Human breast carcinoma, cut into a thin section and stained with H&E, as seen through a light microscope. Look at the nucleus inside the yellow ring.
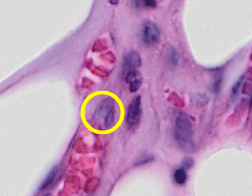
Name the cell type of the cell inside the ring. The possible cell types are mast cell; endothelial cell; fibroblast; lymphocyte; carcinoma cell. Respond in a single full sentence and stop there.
By cell type, the cell inside the ring is an endothelial cell.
